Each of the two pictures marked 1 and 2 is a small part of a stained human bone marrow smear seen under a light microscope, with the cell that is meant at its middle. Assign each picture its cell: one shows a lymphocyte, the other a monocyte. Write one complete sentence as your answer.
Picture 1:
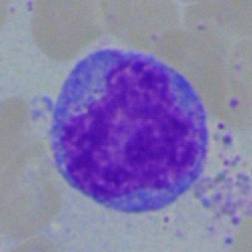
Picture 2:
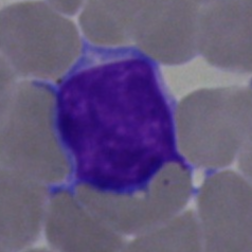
It is picture 1 that shows a monocyte, and picture 2 that shows a lymphocyte.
